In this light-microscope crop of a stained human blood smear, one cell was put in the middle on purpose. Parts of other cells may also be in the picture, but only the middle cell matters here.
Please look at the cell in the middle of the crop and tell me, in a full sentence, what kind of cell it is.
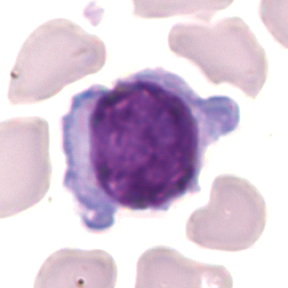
The middle of this crop is occupied by a plasma cell.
